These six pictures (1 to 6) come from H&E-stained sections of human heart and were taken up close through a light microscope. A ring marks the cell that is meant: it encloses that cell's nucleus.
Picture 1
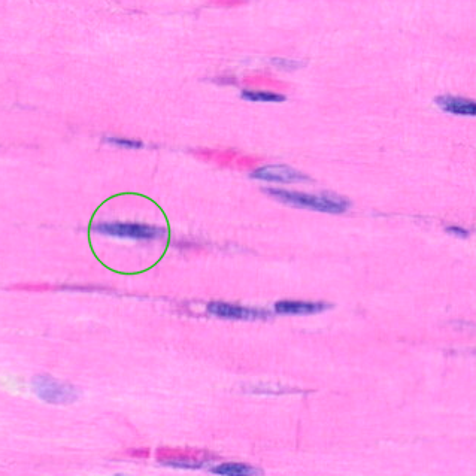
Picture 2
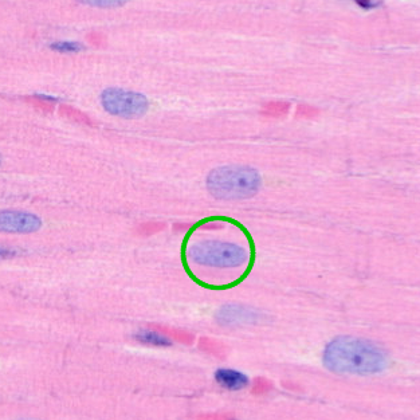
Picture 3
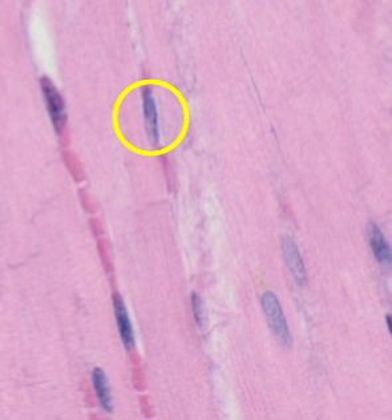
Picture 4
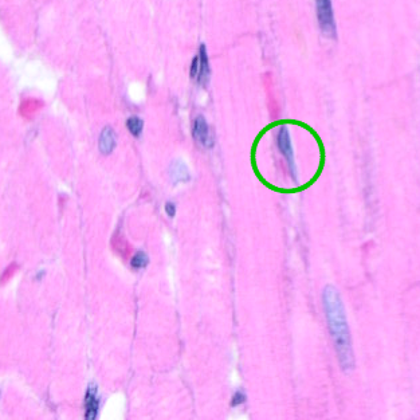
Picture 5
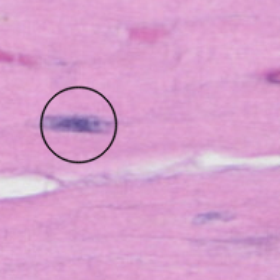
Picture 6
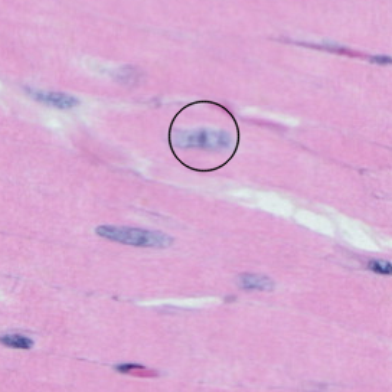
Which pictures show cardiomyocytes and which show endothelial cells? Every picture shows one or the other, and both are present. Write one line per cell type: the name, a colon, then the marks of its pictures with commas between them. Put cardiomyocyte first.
cardiomyocyte: 2, 6
endothelial cell: 1, 3, 4, 5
